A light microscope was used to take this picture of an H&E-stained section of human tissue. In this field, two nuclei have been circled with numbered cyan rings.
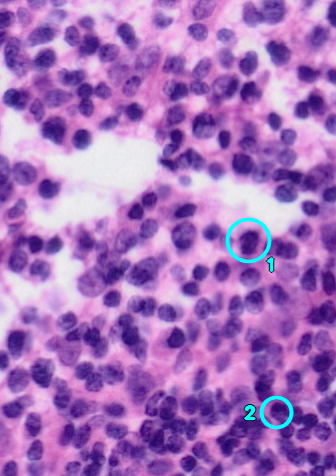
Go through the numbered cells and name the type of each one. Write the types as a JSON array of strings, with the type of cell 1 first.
["proliferating B cell", "small lymphocyte"]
